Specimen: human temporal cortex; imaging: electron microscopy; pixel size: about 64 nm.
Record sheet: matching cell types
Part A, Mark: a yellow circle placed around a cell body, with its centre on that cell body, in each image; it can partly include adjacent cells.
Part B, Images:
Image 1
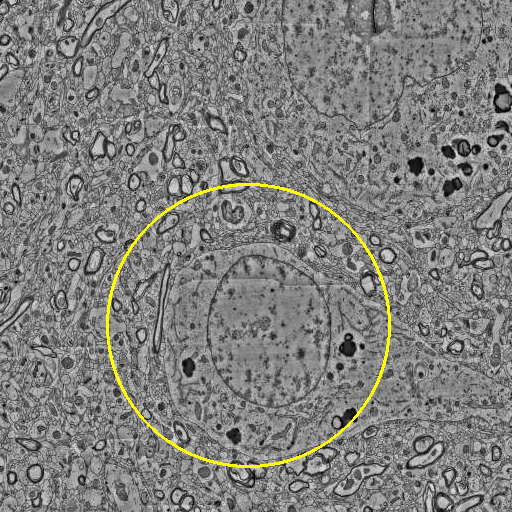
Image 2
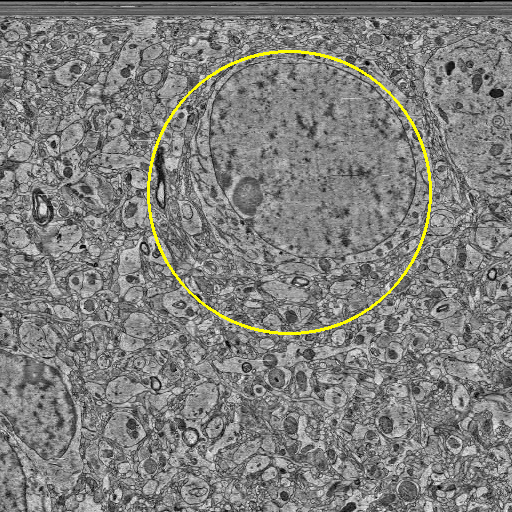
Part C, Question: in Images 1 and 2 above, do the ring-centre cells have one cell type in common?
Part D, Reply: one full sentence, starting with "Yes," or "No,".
Yes, the ring-centre cells of Image 1 and Image 2 are both of a single cell type.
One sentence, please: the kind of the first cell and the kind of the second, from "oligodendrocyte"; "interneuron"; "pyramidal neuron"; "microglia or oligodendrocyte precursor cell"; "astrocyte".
Each of the two rings surrounds a pyramidal neuron.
